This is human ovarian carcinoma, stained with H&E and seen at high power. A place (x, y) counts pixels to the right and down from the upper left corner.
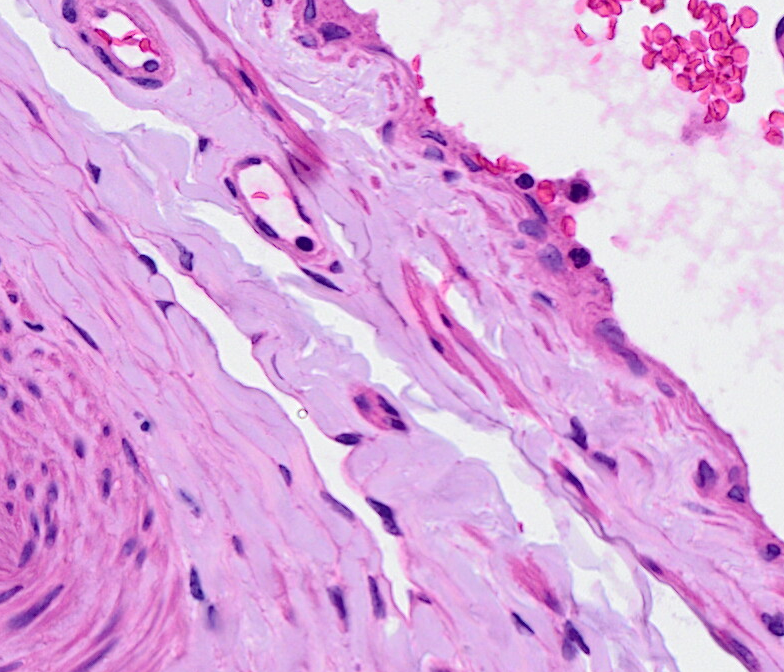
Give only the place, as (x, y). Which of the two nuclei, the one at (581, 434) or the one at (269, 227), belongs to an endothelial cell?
(269, 227)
